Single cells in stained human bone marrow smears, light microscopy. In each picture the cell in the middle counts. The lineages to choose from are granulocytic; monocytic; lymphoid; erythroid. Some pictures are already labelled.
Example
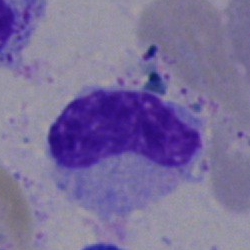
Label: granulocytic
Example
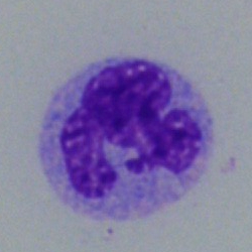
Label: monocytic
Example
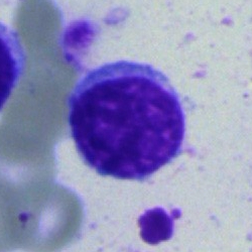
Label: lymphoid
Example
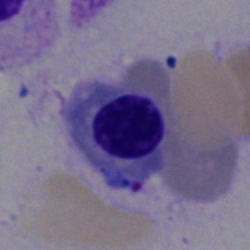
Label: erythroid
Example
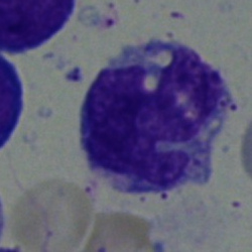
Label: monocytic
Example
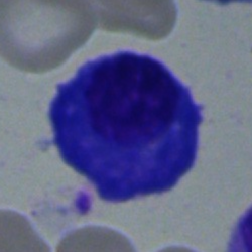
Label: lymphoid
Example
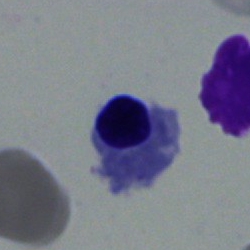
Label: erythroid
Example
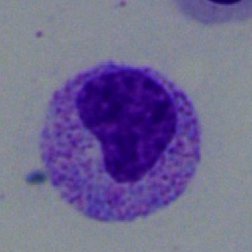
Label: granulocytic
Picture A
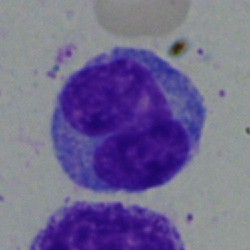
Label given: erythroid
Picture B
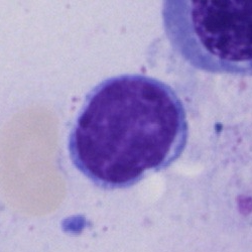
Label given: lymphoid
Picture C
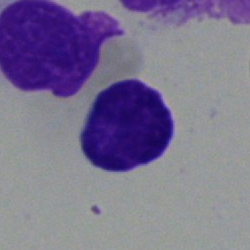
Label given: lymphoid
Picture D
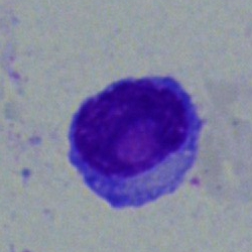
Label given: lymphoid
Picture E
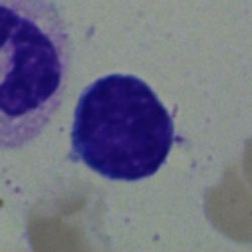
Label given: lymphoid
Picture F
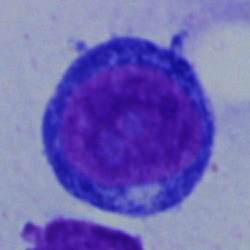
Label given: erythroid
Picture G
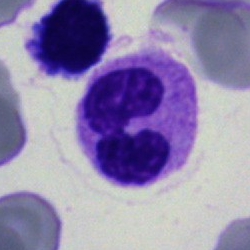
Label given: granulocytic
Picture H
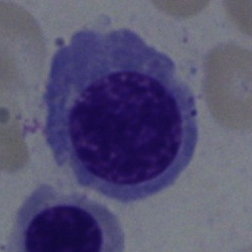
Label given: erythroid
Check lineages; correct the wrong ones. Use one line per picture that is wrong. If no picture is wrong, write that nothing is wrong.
A is labelled erythroid; correct label: monocytic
